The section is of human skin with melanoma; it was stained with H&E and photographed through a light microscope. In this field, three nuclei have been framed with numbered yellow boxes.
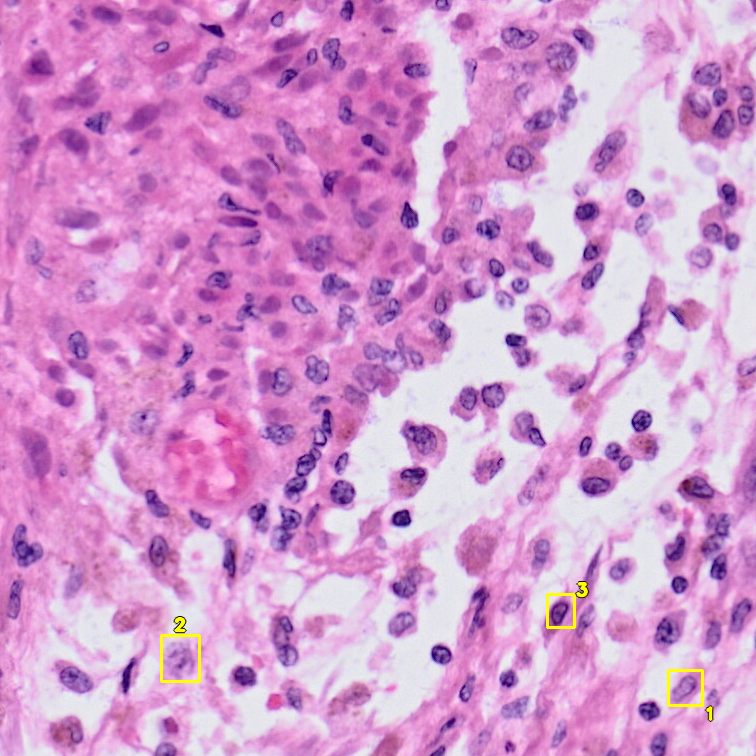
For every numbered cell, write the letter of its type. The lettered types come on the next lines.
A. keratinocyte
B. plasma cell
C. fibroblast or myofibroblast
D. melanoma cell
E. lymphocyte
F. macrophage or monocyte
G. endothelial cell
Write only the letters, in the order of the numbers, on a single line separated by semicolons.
F; C; F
